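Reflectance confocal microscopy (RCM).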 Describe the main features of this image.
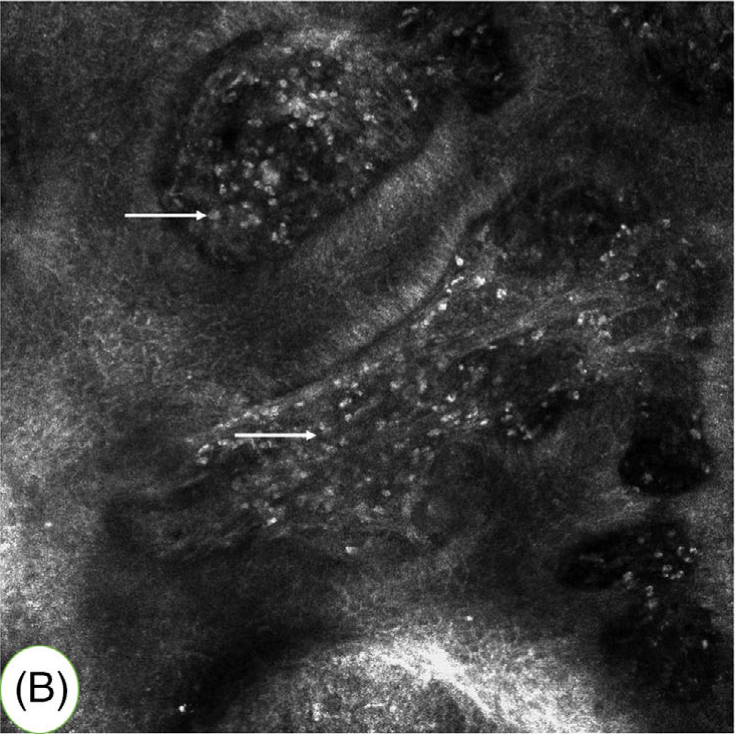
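In the dermal papillary layer, darker rounded and elongated zones hold many small, very bright round to oval inflammatory cells scattered among faint fibrous strands. The surrounding tissue appears as a finer grey, dimly reflective texture.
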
